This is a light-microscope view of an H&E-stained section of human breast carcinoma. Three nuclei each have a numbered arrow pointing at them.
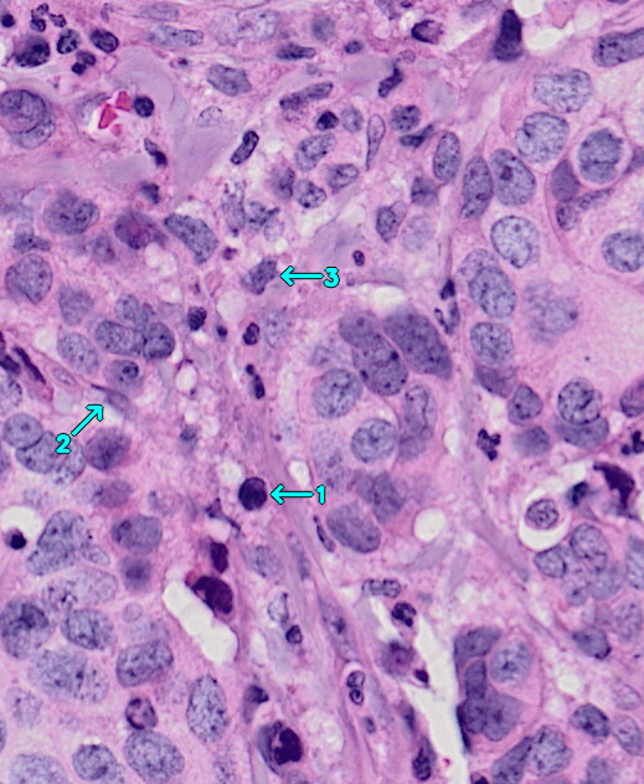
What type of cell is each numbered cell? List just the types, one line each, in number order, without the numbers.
carcinoma cell
carcinoma cell
macrophage, monocyte or dendritic cell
